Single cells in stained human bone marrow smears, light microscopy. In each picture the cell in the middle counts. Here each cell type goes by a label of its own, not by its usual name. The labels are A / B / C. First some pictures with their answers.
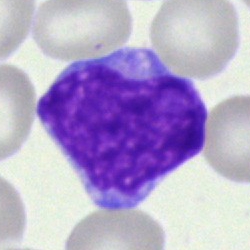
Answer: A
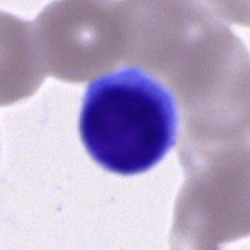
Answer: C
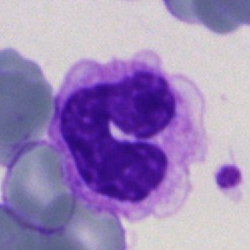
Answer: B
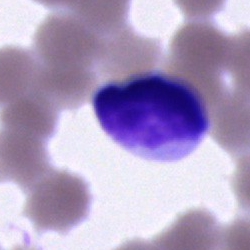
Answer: C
